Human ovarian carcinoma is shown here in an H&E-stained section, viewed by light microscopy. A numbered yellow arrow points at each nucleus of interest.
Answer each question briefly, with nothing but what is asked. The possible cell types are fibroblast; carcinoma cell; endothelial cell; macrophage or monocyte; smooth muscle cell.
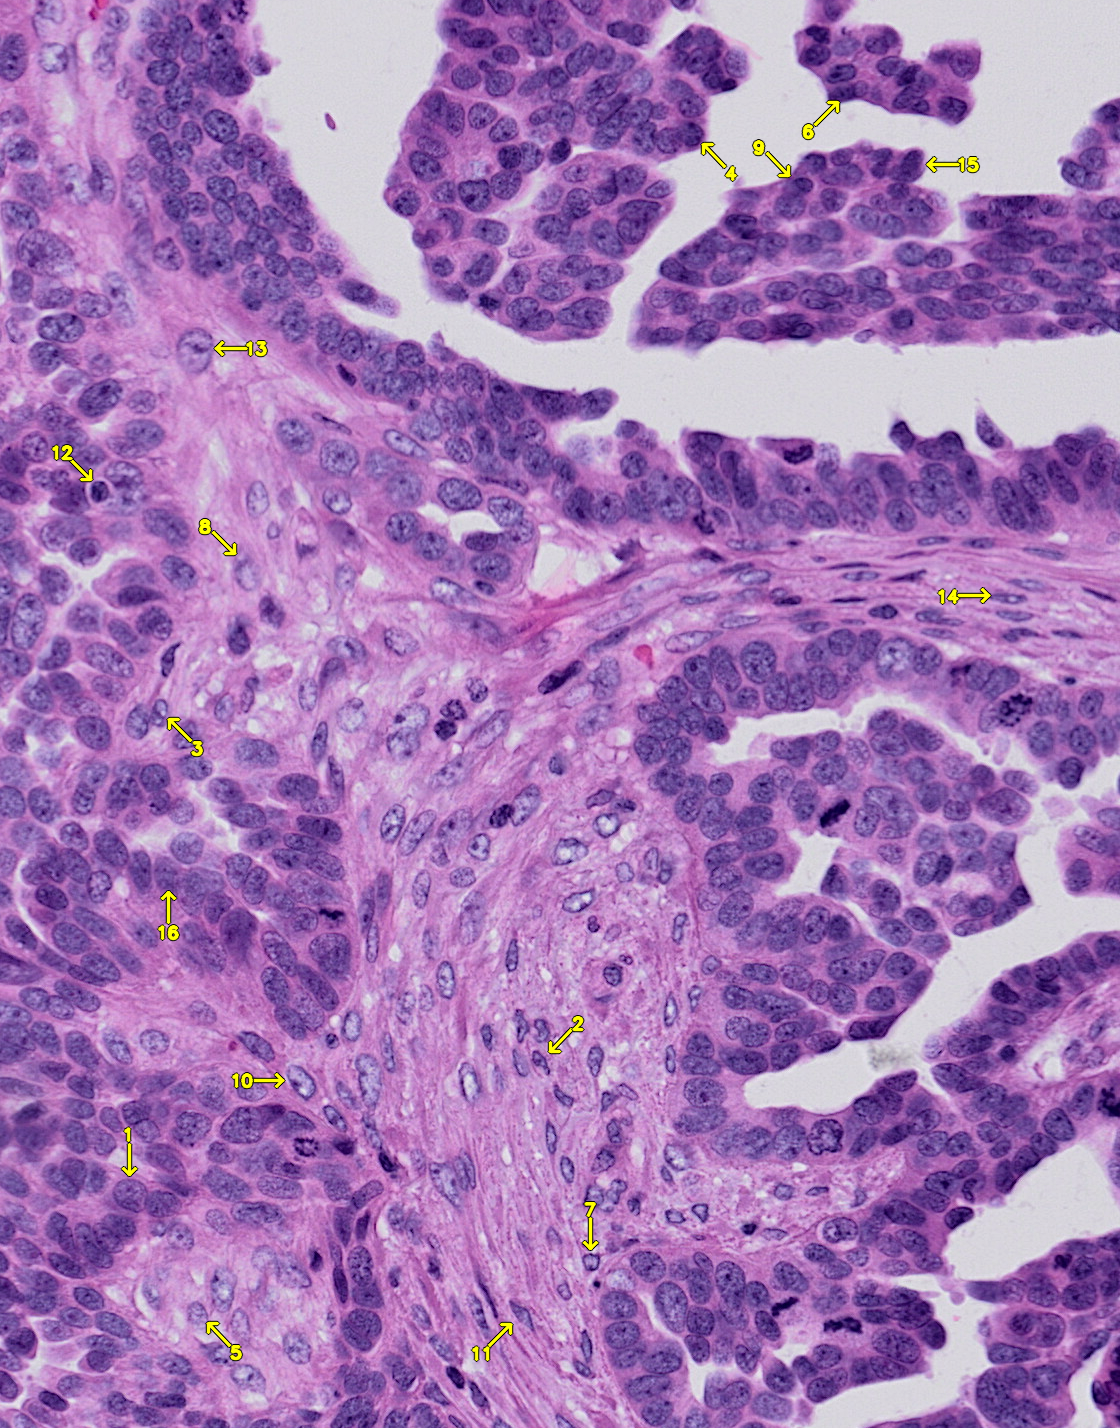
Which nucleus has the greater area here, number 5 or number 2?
5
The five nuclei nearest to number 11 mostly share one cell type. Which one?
fibroblast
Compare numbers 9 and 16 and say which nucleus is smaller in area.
9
